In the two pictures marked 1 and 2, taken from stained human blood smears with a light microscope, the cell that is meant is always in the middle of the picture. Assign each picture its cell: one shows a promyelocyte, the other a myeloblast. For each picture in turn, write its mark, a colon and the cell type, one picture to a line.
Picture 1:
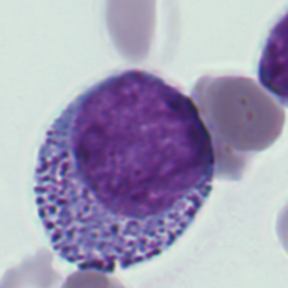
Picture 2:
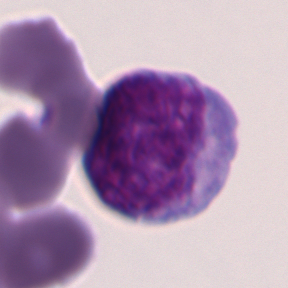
1: promyelocyte
2: myeloblast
